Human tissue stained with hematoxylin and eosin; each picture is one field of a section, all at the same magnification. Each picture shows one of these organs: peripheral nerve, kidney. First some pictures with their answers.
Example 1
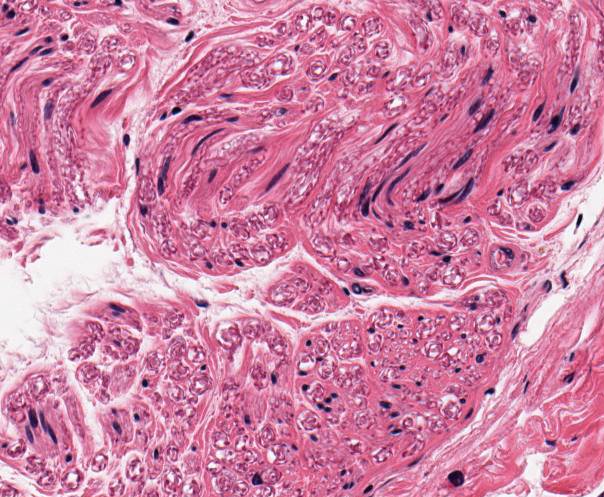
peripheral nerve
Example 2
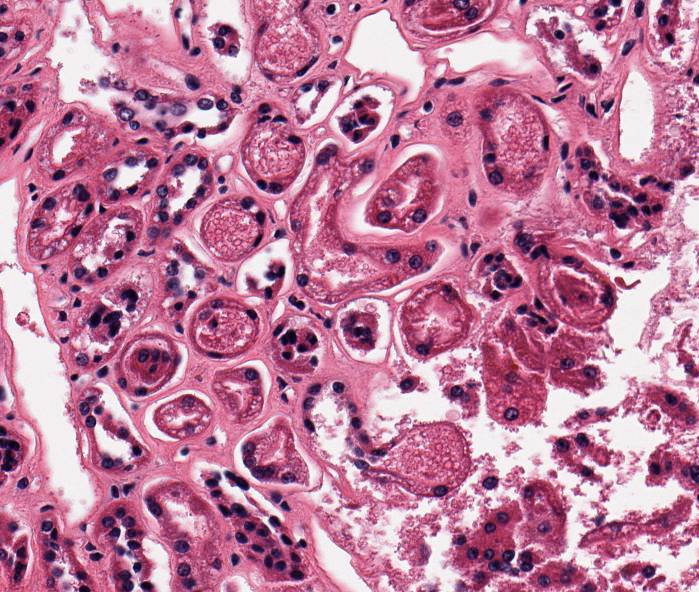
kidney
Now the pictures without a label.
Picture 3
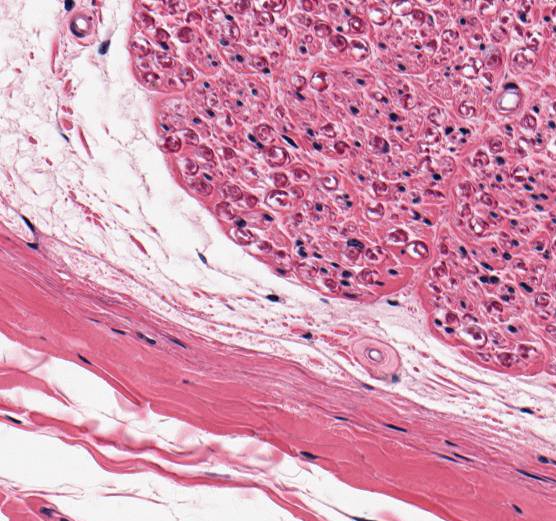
peripheral nerve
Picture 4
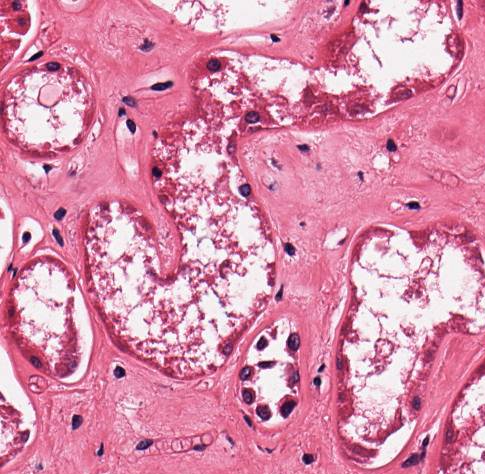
kidney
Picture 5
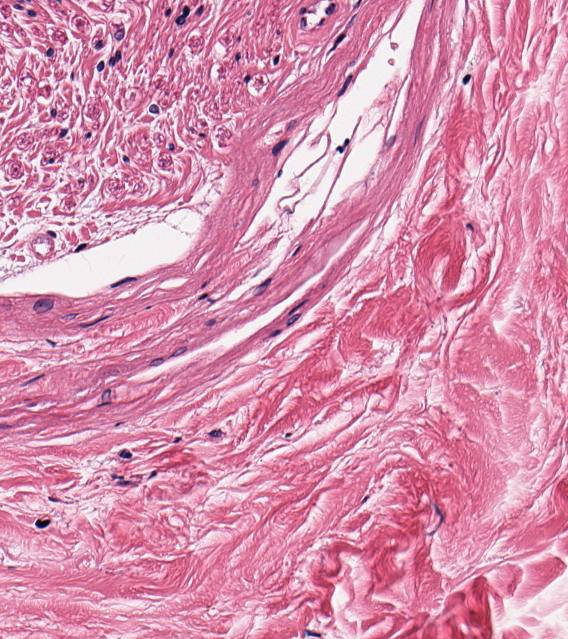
peripheral nerve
